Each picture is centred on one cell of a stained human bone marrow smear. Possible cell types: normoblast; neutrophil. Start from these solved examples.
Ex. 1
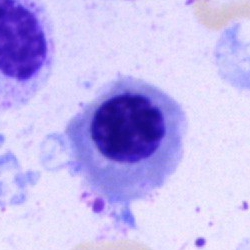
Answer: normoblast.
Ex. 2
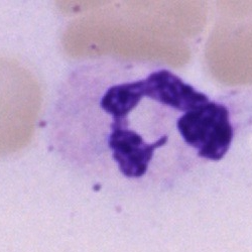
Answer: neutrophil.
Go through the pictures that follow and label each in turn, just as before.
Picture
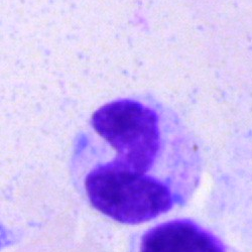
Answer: neutrophil.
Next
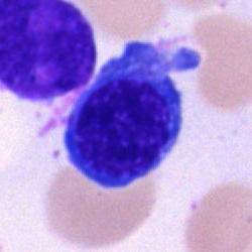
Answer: normoblast.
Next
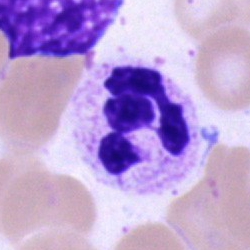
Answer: neutrophil.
